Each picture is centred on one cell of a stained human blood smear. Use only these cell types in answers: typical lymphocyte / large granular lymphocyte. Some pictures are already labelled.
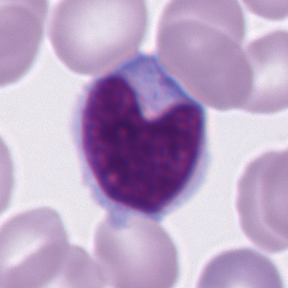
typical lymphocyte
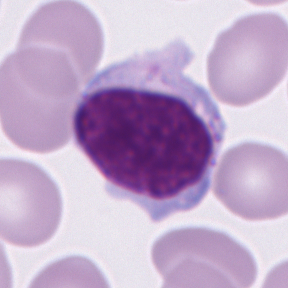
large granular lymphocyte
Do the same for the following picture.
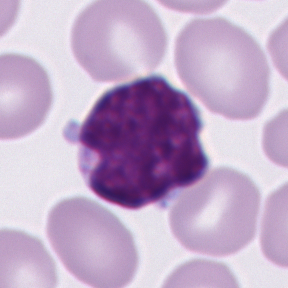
typical lymphocyte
